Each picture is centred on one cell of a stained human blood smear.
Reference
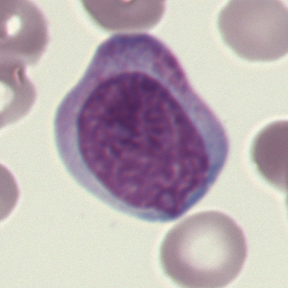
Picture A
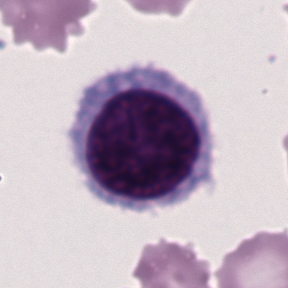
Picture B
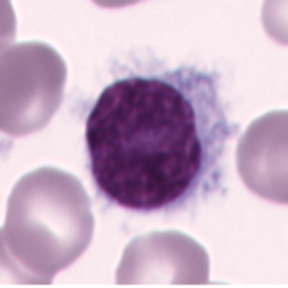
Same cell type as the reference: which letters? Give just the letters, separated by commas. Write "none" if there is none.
none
